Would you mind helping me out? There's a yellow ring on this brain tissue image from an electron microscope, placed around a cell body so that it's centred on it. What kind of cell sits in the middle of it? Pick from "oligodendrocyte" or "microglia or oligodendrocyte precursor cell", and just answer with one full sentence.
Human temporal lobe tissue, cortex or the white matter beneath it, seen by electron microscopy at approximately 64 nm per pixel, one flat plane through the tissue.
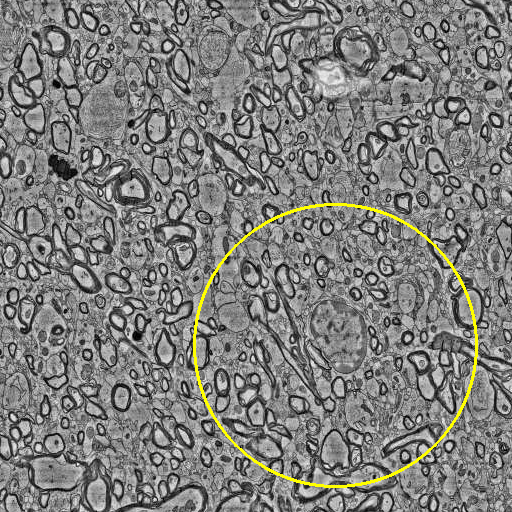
What sits in the middle of that yellow ring is a microglial cell or oligodendrocyte precursor cell, from your choices.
